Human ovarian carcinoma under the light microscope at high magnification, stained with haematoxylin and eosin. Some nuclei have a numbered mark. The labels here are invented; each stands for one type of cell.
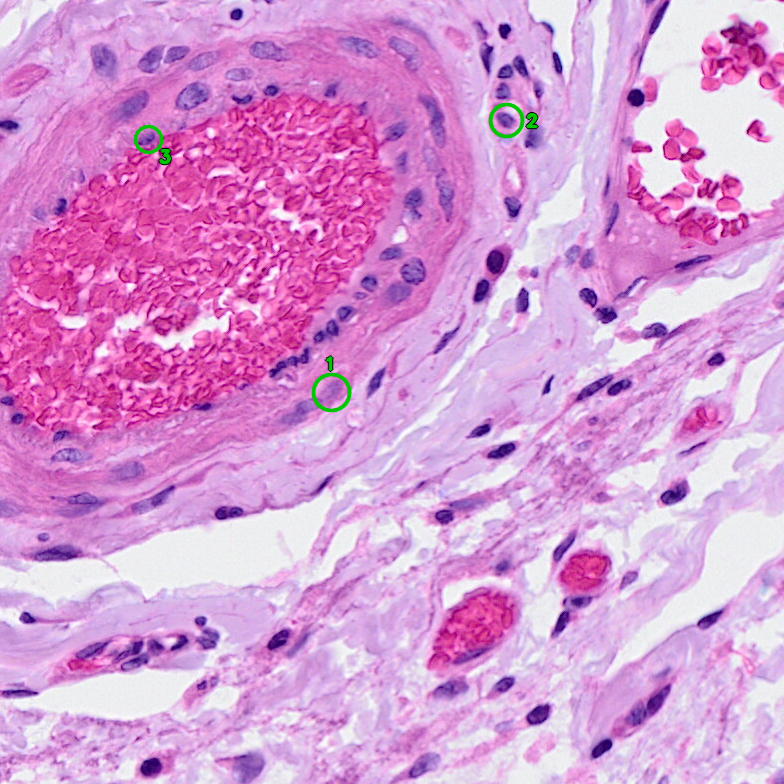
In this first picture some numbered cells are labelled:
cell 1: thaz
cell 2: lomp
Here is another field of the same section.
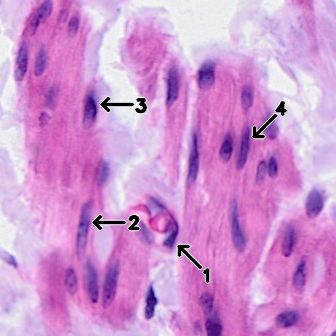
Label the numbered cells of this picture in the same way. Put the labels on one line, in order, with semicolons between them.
lomp; thaz; thaz; thaz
